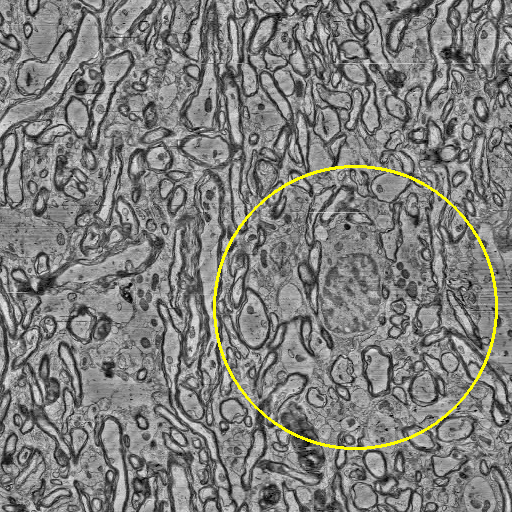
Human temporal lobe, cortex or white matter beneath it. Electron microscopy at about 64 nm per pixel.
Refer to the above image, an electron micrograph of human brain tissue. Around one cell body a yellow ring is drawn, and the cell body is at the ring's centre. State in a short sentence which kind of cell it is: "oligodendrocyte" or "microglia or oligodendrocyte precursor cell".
The centre of the ring falls on an oligodendrocyte.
